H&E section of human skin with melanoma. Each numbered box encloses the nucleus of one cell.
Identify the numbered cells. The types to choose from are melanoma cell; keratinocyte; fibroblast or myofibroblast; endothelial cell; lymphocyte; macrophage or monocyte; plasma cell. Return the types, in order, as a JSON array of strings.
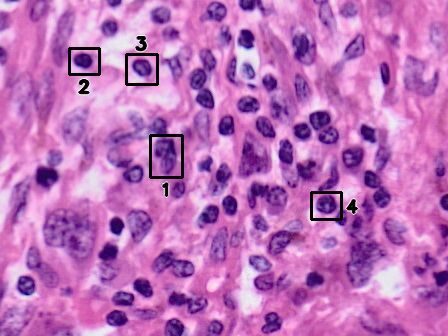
["plasma cell", "lymphocyte", "lymphocyte", "lymphocyte"]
